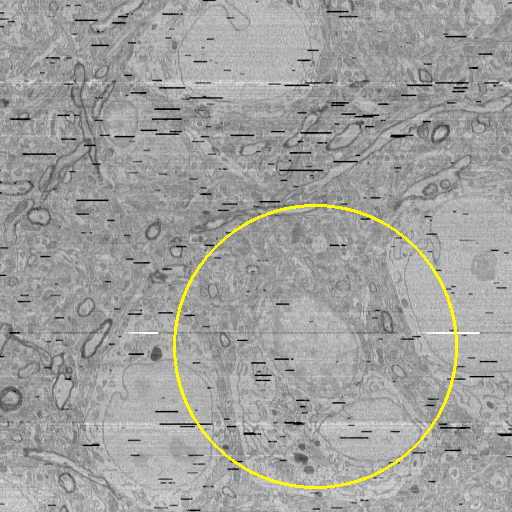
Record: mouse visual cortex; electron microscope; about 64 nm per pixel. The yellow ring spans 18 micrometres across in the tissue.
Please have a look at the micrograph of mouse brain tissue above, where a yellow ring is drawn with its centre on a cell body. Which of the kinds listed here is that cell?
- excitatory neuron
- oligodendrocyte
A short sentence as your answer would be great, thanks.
At the centre of the ring sits an oligodendrocyte.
